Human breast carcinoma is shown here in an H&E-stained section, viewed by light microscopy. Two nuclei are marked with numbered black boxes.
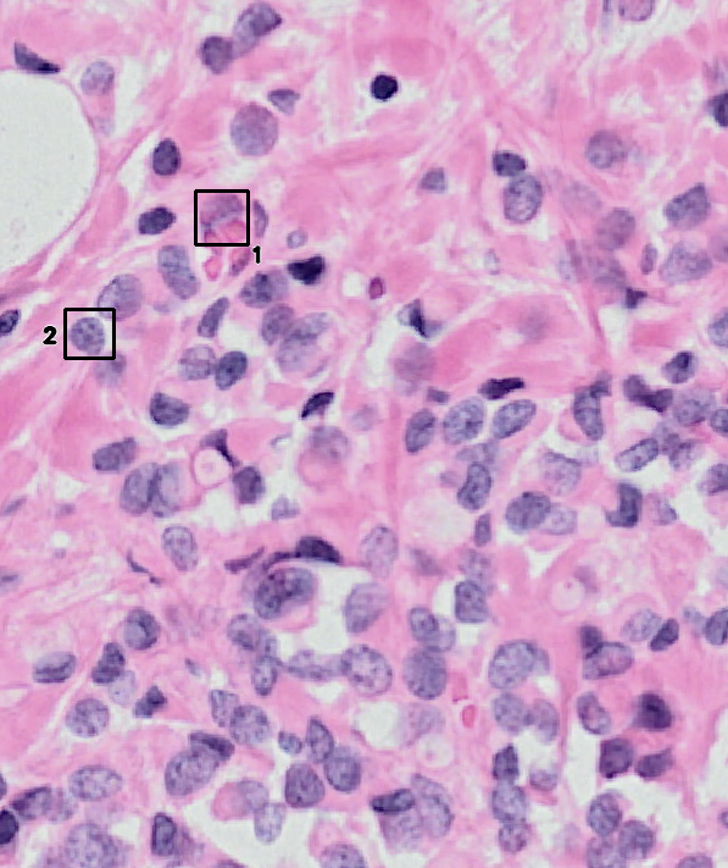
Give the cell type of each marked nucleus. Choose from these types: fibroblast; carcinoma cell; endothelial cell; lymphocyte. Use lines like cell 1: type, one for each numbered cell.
cell 1: endothelial cell
cell 2: carcinoma cell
